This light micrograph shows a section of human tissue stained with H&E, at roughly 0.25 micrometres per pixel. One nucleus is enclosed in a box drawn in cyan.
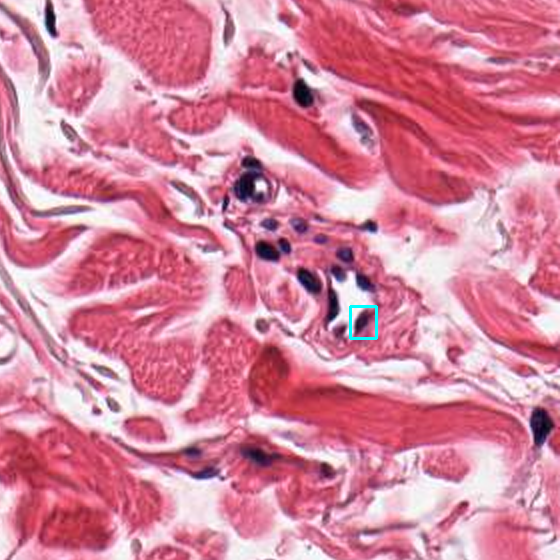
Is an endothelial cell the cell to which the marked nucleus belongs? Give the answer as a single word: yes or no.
yes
